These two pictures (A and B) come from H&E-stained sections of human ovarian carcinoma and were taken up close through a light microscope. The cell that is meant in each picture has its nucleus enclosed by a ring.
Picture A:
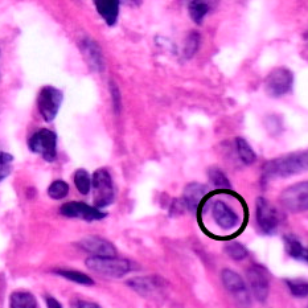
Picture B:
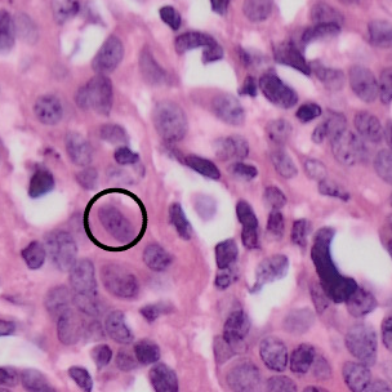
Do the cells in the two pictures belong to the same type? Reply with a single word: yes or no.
no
